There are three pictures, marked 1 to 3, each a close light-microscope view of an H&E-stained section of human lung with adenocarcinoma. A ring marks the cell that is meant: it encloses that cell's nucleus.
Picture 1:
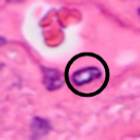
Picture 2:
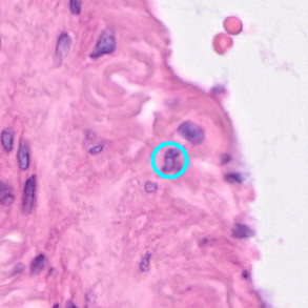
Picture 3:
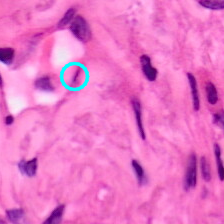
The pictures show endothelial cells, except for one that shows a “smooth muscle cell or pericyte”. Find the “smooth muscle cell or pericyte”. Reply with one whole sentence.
The picture with the “smooth muscle cell or pericyte” is 2.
